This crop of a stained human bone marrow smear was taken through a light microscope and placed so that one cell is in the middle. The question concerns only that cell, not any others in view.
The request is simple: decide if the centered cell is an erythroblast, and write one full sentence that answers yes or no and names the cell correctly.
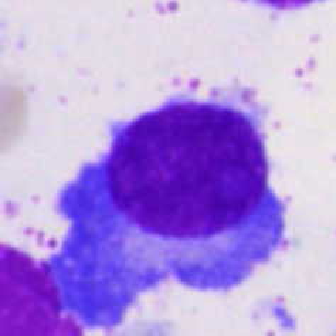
No, the cell in the middle of the field is a plasma cell, not an erythroblast as suggested.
